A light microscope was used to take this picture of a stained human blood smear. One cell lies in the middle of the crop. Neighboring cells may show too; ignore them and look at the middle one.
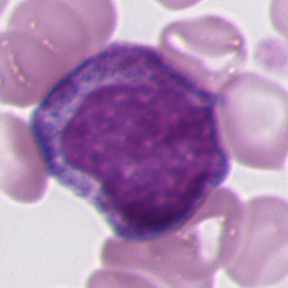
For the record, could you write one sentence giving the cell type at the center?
The cell found in the middle of this crop is a promyelocyte.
